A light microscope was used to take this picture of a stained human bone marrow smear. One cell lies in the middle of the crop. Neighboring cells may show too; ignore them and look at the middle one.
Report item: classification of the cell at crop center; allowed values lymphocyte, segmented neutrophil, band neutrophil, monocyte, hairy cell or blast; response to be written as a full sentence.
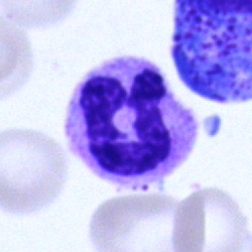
Regarding the central cell, it is a segmented neutrophil.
